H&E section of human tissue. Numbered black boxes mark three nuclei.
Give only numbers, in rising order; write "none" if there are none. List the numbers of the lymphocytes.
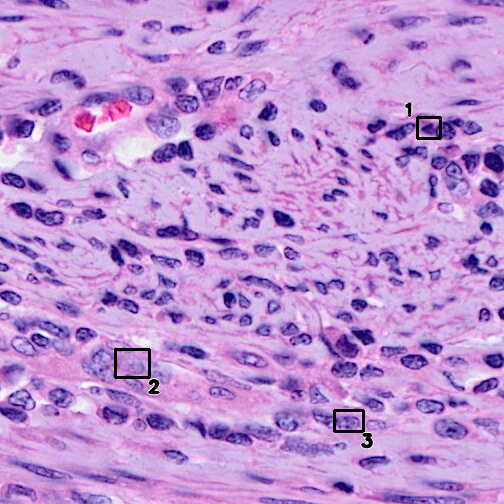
1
